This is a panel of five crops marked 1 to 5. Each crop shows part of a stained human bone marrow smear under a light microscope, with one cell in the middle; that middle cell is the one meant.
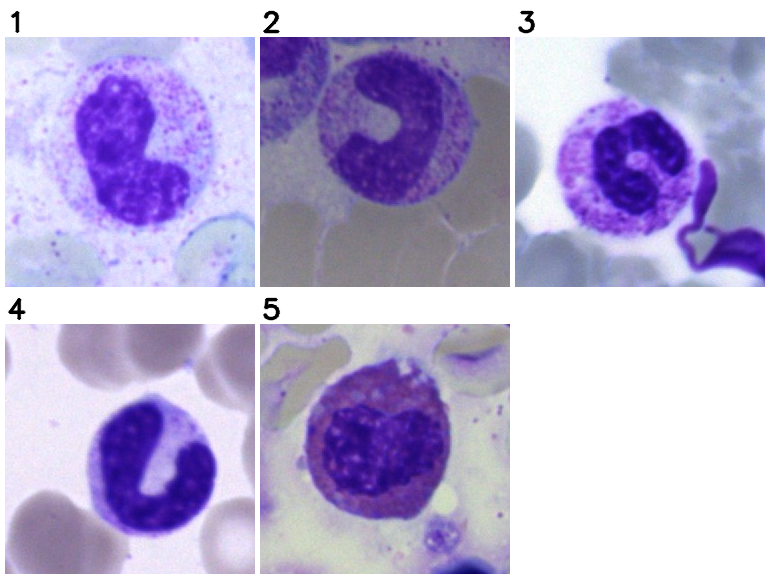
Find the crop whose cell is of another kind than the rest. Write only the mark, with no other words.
5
